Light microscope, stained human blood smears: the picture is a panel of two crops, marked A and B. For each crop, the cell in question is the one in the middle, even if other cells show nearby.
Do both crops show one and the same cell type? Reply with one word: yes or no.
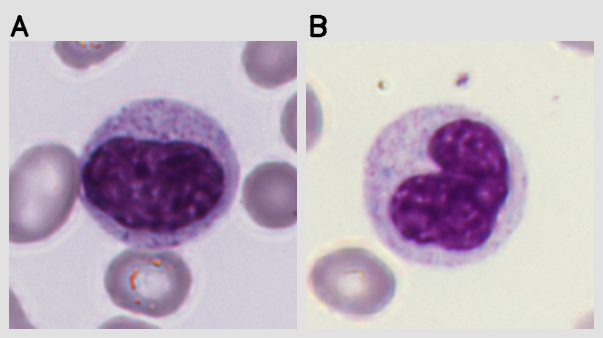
yes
